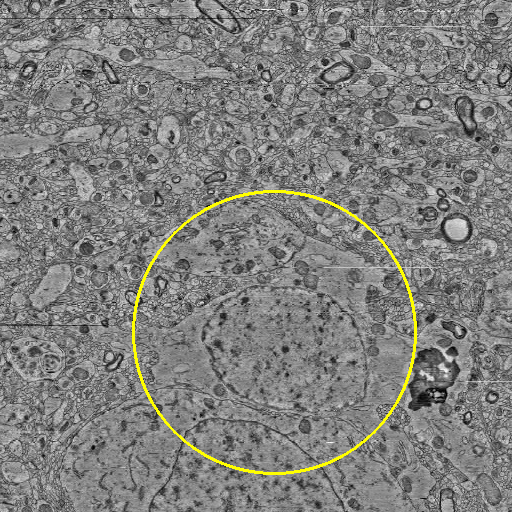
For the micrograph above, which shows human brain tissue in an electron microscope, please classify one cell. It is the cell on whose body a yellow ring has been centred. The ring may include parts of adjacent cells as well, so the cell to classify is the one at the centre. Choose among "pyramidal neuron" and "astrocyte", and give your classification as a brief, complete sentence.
I classify this cell as an astrocyte.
